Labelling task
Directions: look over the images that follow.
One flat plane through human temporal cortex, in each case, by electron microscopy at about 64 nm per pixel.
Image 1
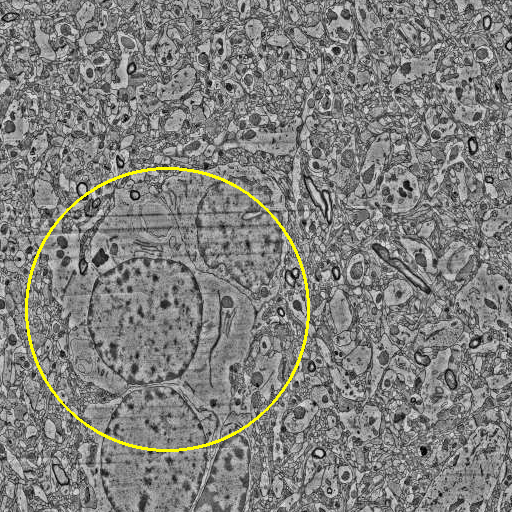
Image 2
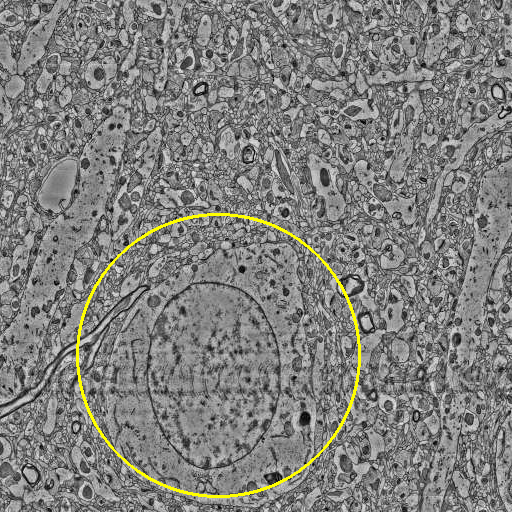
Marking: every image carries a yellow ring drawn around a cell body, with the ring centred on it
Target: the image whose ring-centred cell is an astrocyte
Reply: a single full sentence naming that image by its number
The requested cell sits at the ring's centre in Image 1.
